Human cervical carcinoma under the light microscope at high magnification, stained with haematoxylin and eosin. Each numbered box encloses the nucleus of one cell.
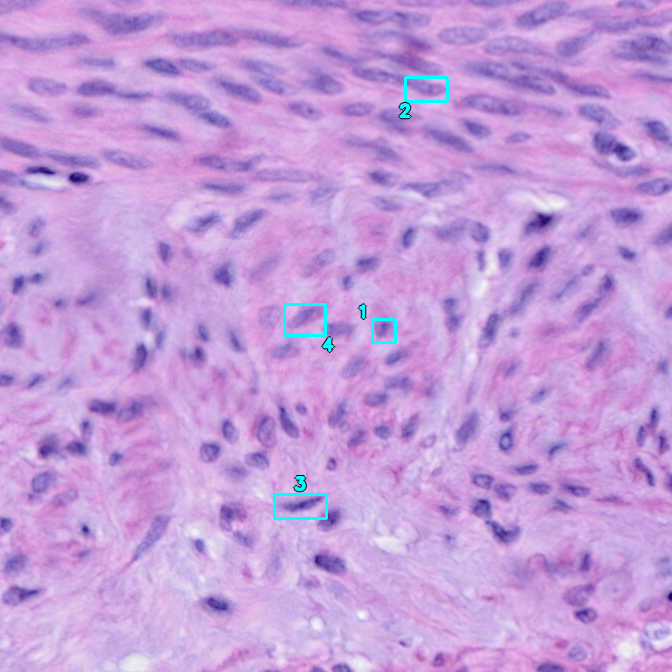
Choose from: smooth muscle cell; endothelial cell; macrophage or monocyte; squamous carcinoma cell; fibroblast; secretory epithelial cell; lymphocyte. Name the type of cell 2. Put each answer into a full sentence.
Identified by the number 2, the cell is a smooth muscle cell.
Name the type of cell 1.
Classified as a smooth muscle cell is the cell with the number 1.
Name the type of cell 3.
The cell referenced by the number 3 is a fibroblast in this field.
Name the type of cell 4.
The nucleus marked 4 is the nucleus of a smooth muscle cell.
